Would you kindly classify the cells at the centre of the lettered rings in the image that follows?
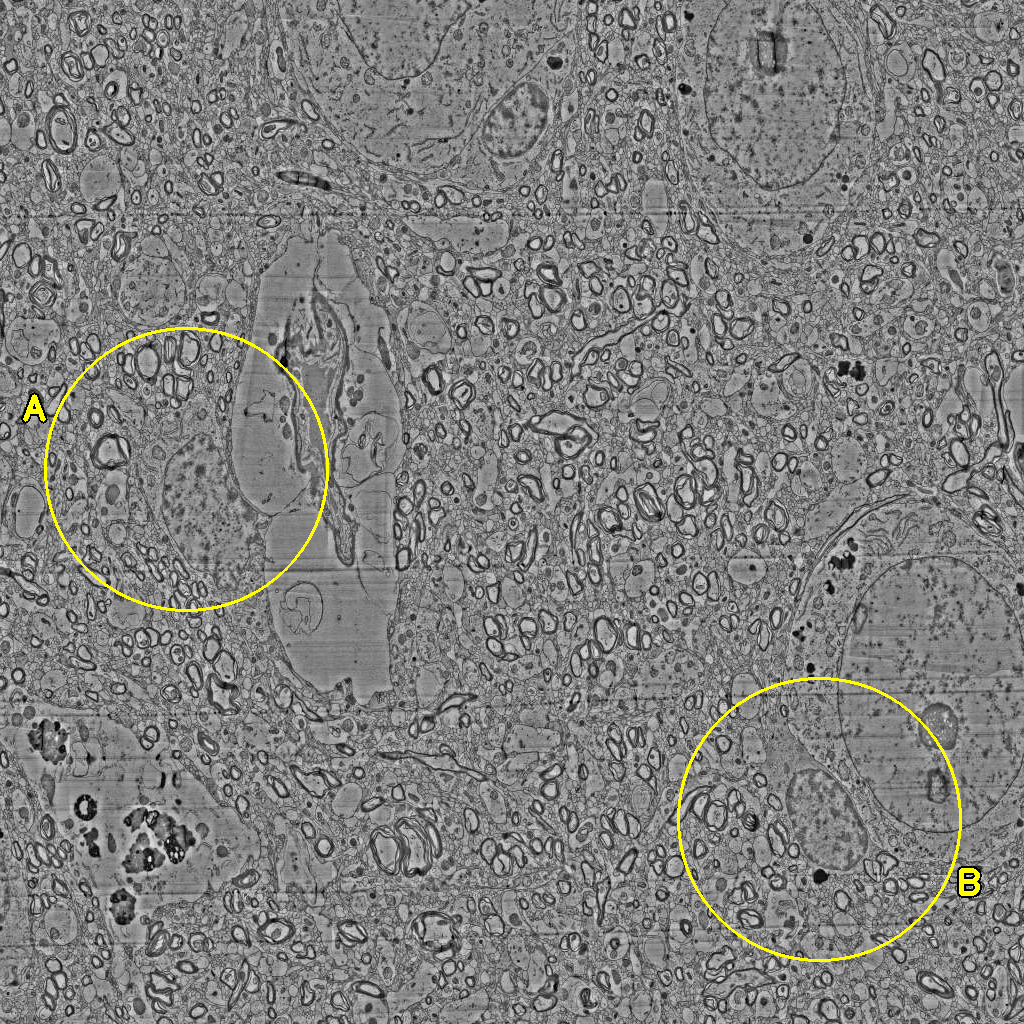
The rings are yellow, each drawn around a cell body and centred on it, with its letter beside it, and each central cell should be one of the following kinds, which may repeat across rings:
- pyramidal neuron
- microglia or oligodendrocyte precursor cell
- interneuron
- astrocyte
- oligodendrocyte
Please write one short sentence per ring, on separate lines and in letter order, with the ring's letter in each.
The kind of cell at the centre of ring A is an interneuron.
The kind of cell at the centre of ring B is an oligodendrocyte.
